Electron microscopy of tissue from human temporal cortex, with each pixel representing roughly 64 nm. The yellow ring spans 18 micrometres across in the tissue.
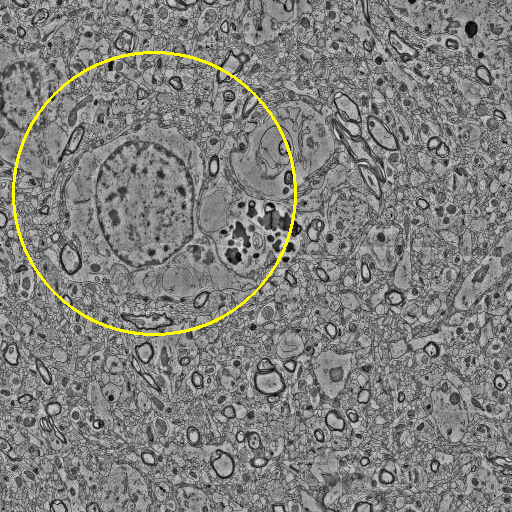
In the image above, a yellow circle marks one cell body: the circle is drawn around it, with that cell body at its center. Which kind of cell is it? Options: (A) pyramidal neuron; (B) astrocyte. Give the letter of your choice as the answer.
B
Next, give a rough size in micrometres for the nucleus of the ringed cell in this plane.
Approximately 8 x 6 micrometres in this plane.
